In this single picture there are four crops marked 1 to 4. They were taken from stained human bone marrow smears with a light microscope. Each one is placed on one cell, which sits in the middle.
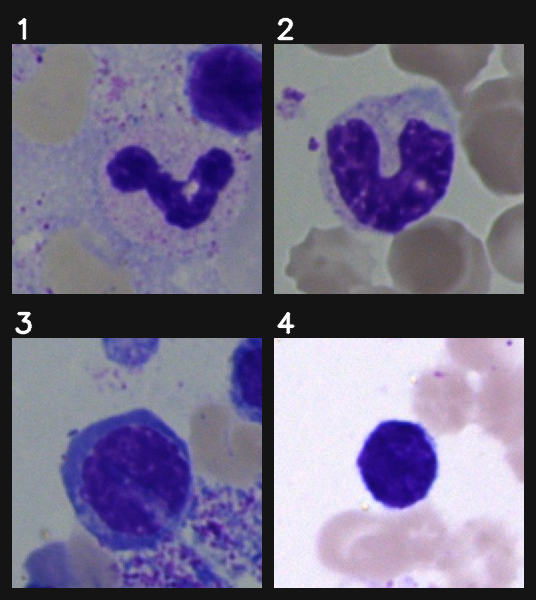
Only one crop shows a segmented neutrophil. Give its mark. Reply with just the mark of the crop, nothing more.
1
